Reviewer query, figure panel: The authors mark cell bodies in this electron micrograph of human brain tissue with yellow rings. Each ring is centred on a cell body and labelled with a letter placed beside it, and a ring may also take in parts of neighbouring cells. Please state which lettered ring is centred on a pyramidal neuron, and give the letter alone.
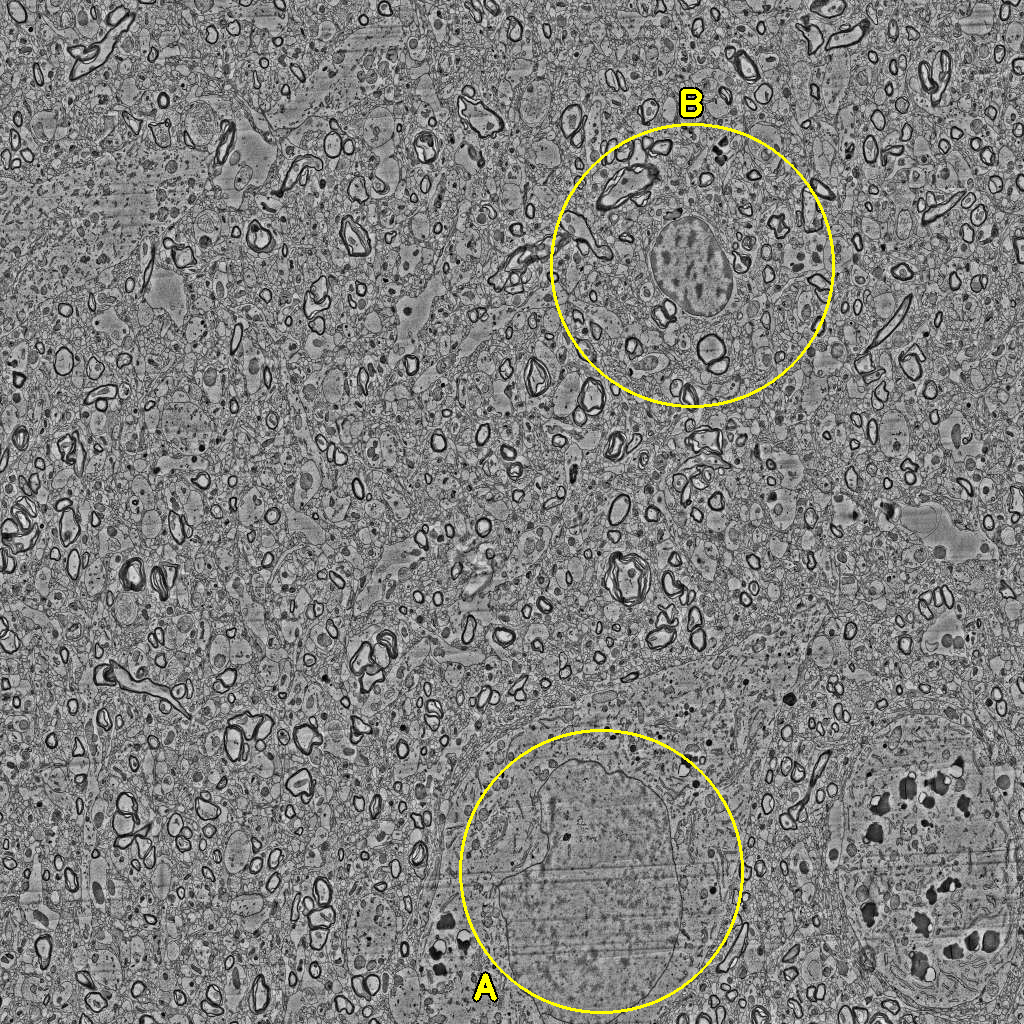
A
